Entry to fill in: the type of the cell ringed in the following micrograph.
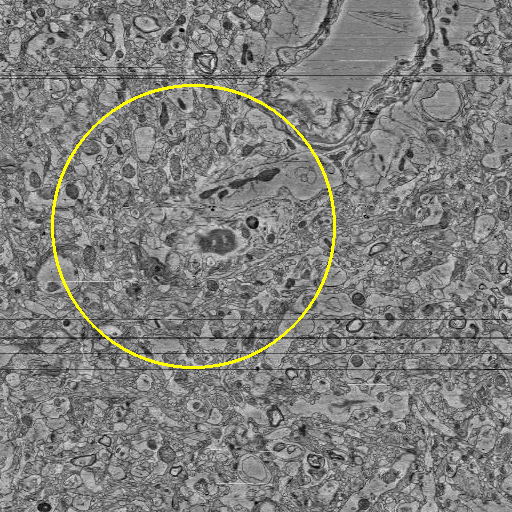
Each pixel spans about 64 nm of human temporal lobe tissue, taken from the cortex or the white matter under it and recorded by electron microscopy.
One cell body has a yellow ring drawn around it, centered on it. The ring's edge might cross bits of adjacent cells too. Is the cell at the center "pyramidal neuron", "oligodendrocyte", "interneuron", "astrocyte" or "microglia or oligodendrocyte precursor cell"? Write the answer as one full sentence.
This entry names a microglial cell or oligodendrocyte precursor cell as the cell whose body lies at the ring's center.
